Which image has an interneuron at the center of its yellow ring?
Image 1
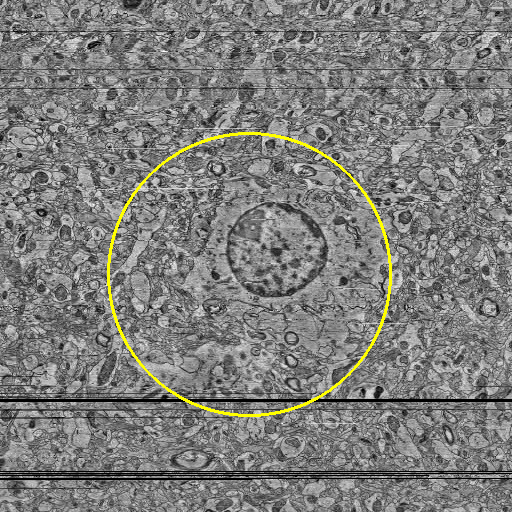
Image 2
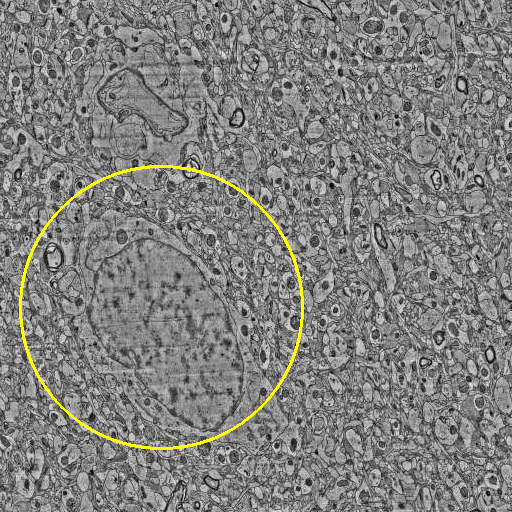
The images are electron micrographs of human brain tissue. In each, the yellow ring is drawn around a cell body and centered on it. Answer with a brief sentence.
It is at the center of the ring in Image 2.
